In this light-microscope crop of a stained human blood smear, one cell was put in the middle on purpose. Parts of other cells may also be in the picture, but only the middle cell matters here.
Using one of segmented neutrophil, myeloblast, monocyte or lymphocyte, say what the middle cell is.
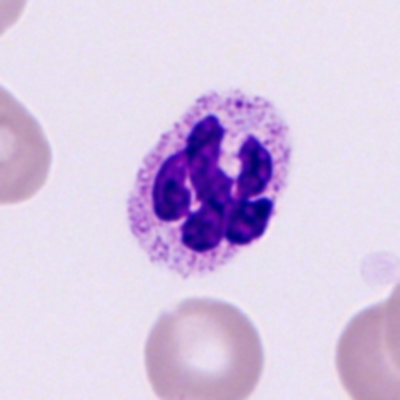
segmented neutrophil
